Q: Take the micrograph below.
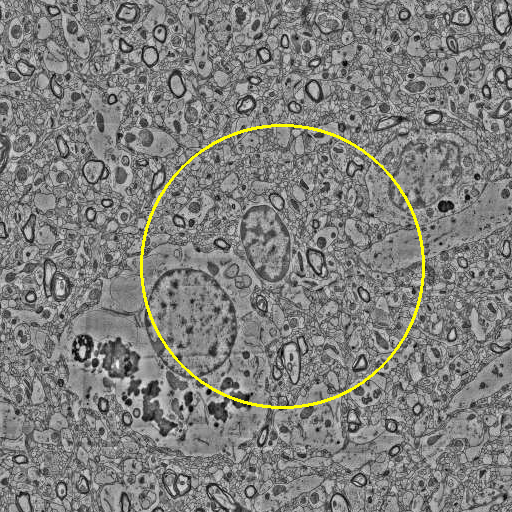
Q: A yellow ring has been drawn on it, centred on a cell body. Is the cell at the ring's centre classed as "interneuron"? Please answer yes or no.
No, its kind is another one.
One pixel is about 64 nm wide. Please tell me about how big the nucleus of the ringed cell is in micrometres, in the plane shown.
About 5 by 3 micrometers; the nucleus is clearly longer than it is wide in this plane.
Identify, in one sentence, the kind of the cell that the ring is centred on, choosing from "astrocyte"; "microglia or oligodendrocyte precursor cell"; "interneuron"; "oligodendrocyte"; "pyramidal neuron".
The cell enclosed by the ring is a microglial cell or oligodendrocyte precursor cell.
